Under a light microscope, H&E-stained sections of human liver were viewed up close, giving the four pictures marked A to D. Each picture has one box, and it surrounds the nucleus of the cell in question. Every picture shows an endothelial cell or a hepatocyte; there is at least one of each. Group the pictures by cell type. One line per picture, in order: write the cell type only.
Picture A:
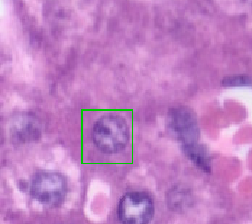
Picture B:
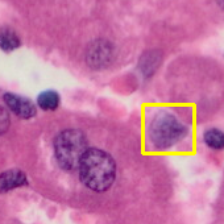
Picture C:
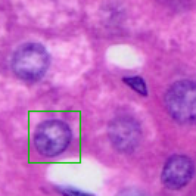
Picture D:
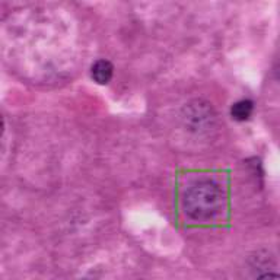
hepatocyte
endothelial cell
hepatocyte
hepatocyte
